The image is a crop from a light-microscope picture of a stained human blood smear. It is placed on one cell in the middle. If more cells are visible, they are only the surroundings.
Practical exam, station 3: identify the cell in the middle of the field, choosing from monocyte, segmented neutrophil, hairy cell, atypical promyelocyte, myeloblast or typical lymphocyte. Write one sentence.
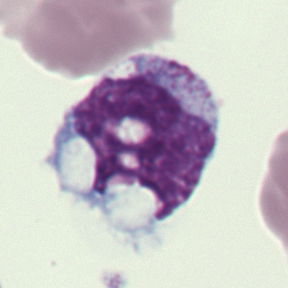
The central element of this crop is a cell, namely a monocyte.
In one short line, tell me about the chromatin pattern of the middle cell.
What stands out is chromatin that is coarsely clumped.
